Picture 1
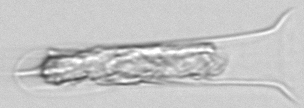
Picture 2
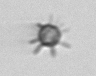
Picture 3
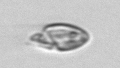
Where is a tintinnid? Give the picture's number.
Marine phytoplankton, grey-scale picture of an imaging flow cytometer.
1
